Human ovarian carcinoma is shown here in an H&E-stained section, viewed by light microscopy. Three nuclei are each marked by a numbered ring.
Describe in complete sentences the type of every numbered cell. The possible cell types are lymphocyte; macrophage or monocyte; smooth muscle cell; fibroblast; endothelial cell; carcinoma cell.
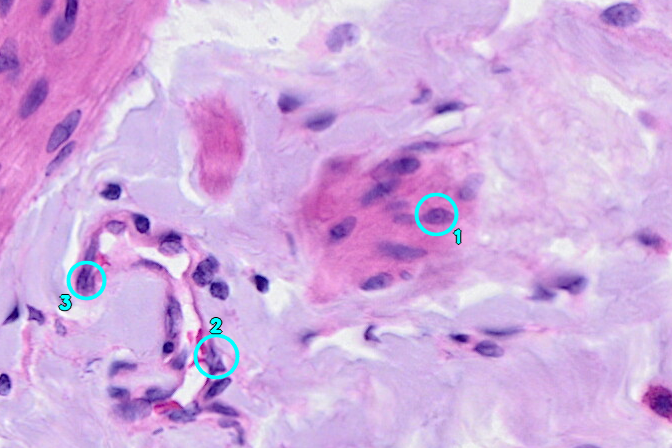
Cell 1 is a smooth muscle cell. Cells 2 and 3 are endothelial cells.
